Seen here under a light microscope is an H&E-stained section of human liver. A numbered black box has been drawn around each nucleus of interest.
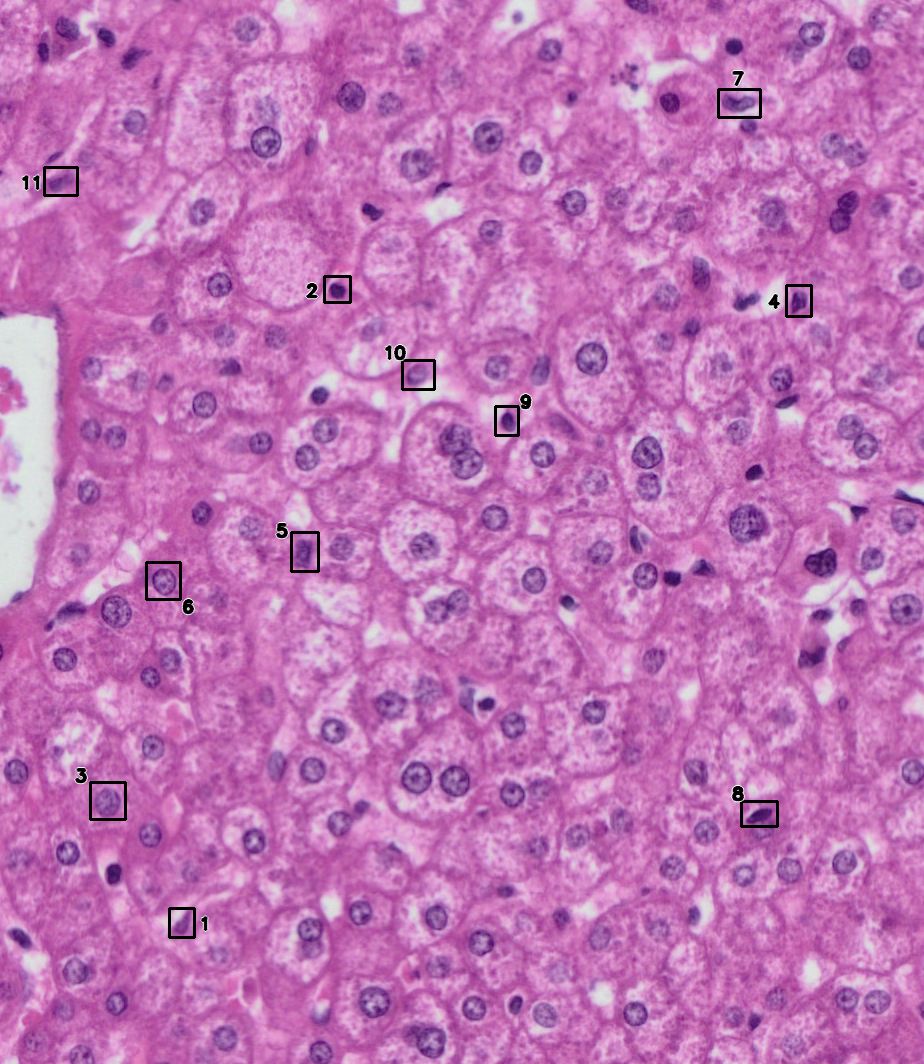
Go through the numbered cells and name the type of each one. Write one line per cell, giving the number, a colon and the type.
1: Kupffer cell
2: lymphocyte
3: hepatocyte
4: fibroblast or stellate cell
5: fibroblast or stellate cell
6: hepatocyte
7: Kupffer cell
8: fibroblast or stellate cell
9: lymphocyte
10: Kupffer cell
11: Kupffer cell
